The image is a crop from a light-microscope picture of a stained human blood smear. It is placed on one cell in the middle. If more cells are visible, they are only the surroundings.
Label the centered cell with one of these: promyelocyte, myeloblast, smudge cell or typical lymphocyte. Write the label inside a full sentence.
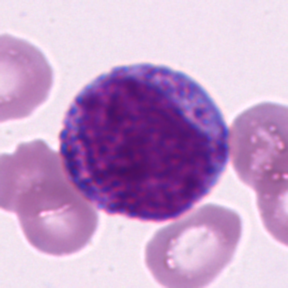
Answering briefly, the cell in the middle is a promyelocyte.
